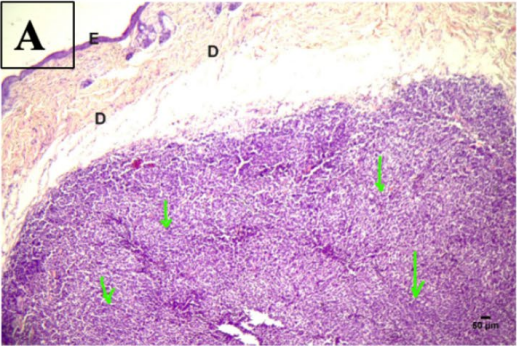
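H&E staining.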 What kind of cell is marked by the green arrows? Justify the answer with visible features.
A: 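Tumor cell. A large dense mass of purple-staining cells fills most of the field. It lies beneath a thin epidermis and pale dermis.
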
